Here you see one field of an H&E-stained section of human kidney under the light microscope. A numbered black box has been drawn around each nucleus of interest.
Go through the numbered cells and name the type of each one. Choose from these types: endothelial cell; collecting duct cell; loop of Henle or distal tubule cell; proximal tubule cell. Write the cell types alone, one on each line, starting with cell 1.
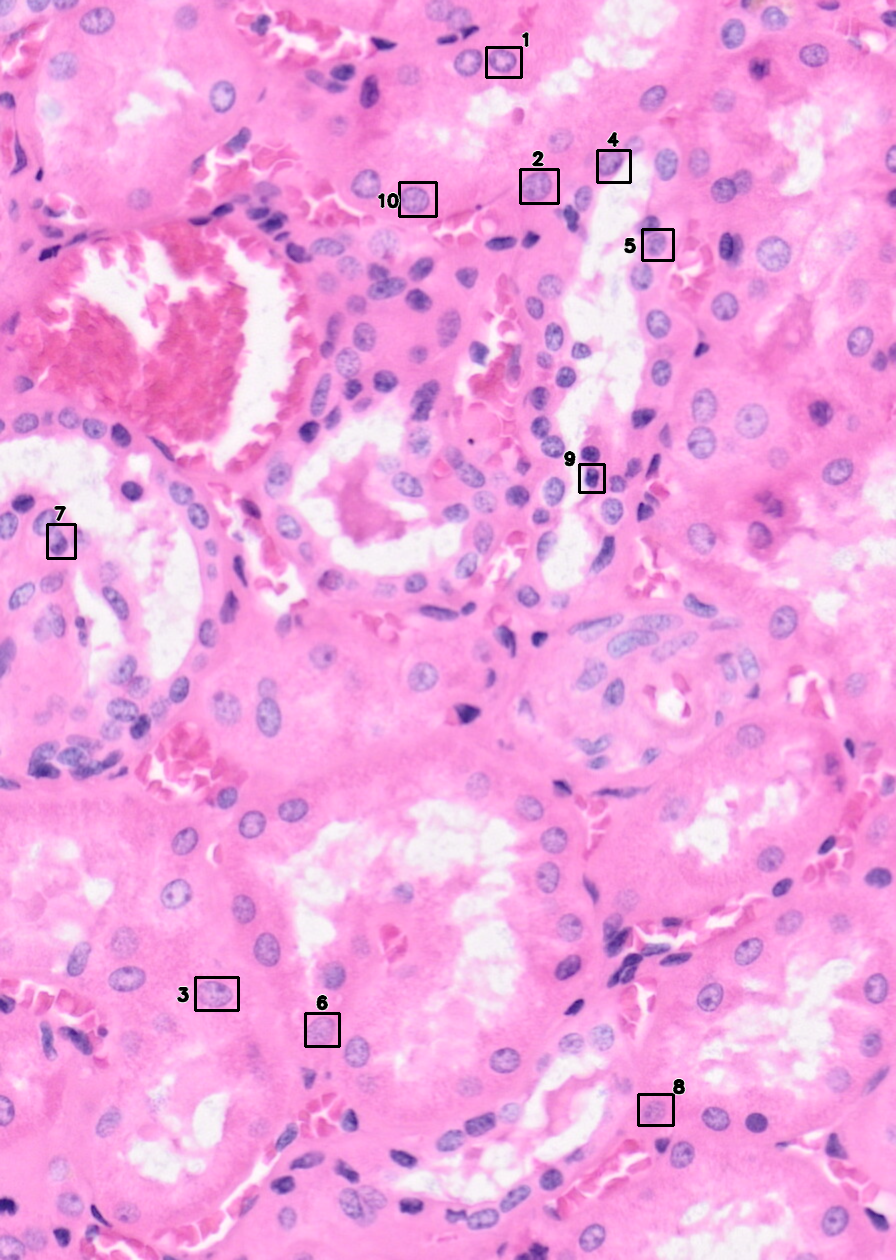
proximal tubule cell
proximal tubule cell
proximal tubule cell
loop of Henle or distal tubule cell
collecting duct cell
proximal tubule cell
collecting duct cell
proximal tubule cell
collecting duct cell
proximal tubule cell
